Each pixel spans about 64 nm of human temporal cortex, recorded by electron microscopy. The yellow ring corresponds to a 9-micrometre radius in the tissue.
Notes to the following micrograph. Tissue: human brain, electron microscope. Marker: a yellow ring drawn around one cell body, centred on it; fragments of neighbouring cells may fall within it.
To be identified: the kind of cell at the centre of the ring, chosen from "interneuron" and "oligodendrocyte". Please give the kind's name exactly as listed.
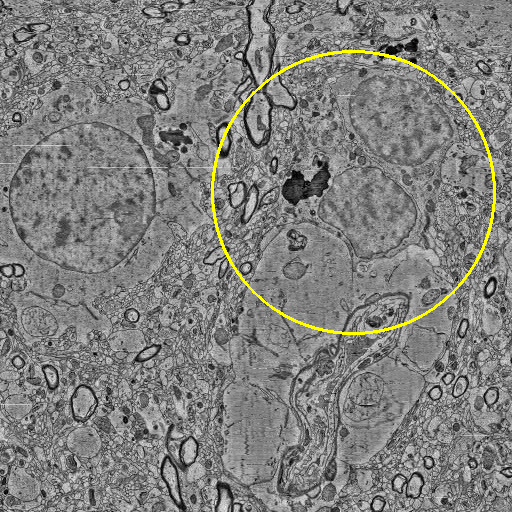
oligodendrocyte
